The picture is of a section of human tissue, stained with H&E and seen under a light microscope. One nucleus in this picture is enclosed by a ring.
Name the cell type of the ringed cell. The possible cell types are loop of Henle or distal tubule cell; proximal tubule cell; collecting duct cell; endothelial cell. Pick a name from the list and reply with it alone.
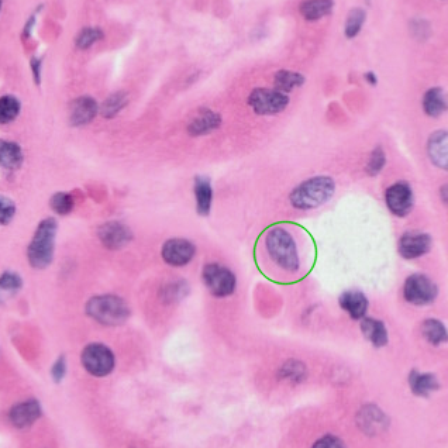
loop of Henle or distal tubule cell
